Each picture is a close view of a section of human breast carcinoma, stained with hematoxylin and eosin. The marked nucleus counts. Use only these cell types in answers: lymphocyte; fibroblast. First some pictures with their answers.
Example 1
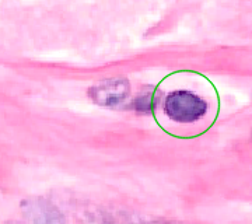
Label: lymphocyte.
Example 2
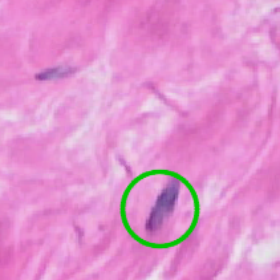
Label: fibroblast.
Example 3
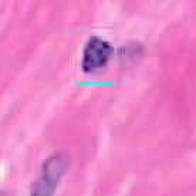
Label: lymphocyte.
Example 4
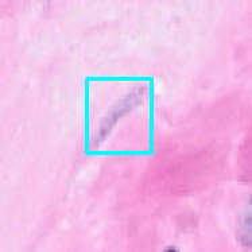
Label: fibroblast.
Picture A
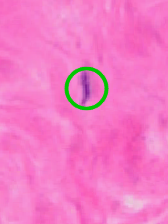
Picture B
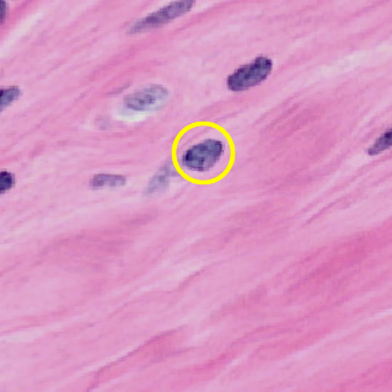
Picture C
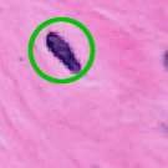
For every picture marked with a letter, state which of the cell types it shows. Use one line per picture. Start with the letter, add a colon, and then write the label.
A: fibroblast.
B: lymphocyte.
C: lymphocyte.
